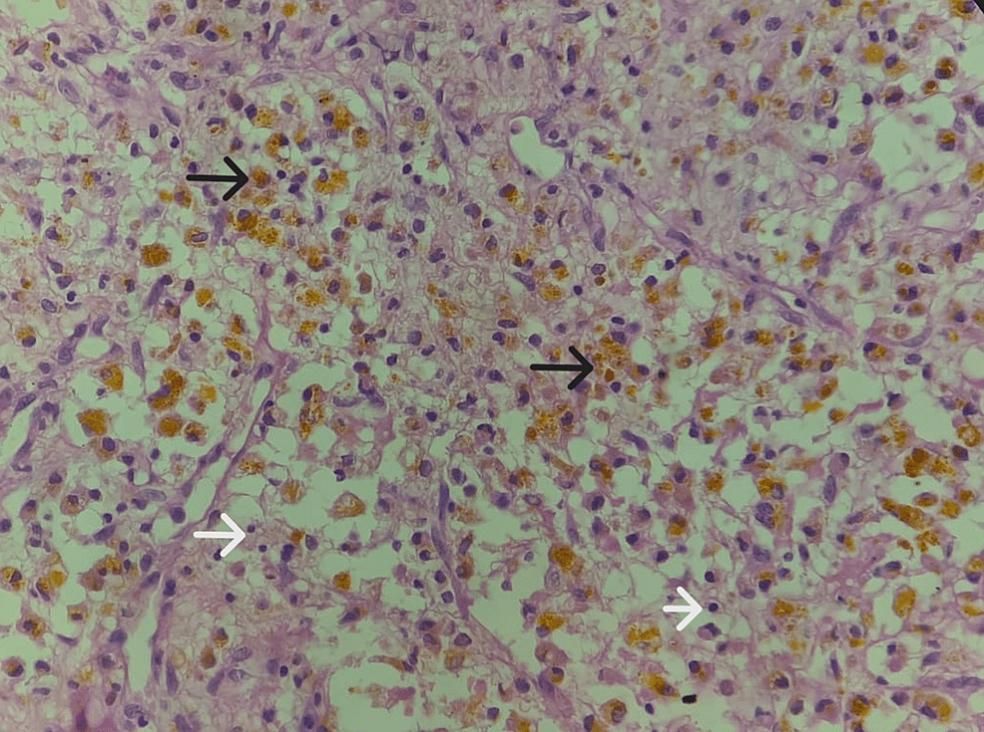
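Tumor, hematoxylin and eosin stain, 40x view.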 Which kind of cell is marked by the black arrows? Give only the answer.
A: Hemosiderin-laden macrophages.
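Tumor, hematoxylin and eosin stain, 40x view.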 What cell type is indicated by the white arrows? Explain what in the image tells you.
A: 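The marked cells are small, with round, dark purple nuclei. They have scant cytoplasm and no brown pigment. They lie scattered in the loose, pale background between larger cells.
Inflammatory cells.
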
